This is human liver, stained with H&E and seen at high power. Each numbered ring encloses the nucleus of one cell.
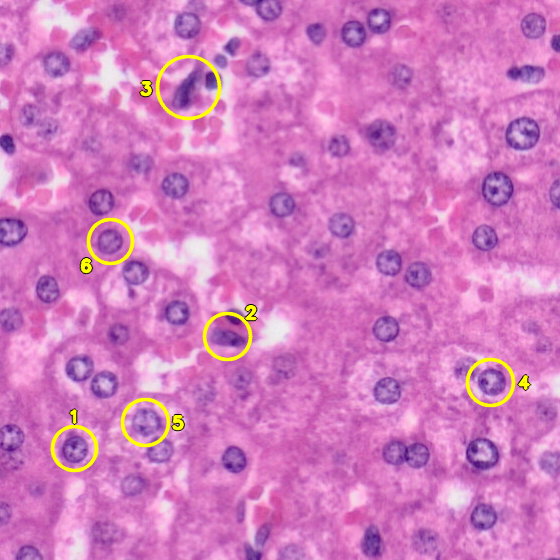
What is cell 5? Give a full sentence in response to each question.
Number 5 is placed on a hepatocyte here.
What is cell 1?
The marked cell bearing number 1 is a hepatocyte.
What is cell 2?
Here, the cell given the number 2 is a Kupffer cell.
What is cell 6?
The numbered cell 6 in this field is a hepatocyte.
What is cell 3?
Cell 3, among those numbered, is a Kupffer cell.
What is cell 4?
Cell 4, as marked in the section, is a hepatocyte.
